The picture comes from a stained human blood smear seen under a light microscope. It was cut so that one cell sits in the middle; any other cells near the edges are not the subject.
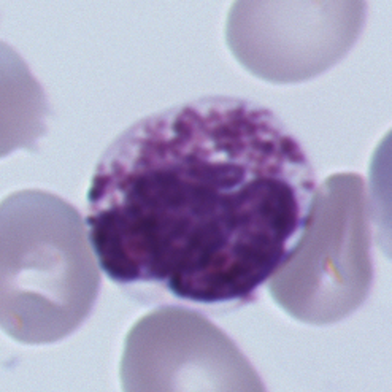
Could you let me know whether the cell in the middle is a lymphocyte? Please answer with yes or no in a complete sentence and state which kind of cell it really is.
No, the centre cell is not a lymphocyte but a basophil.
